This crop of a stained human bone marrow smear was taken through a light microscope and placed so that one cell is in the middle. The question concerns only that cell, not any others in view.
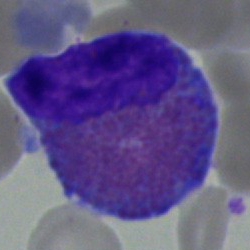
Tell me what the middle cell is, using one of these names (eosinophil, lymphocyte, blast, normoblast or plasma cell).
eosinophil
